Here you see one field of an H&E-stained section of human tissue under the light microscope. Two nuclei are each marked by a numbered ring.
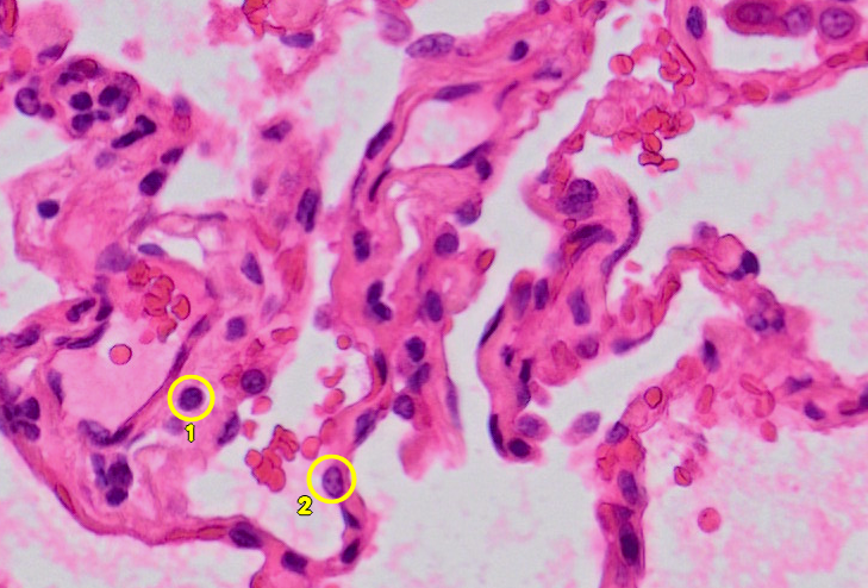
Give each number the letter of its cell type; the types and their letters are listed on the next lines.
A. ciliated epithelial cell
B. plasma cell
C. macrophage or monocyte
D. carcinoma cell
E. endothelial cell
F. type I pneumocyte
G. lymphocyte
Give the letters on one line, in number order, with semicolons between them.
G; F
